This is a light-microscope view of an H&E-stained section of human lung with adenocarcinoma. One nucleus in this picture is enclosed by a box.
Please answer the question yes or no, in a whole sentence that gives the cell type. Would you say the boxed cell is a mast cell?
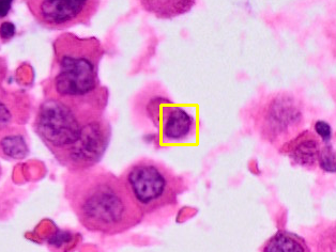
No, the boxed cell is classed as a macrophage or monocyte, not as a mast cell.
